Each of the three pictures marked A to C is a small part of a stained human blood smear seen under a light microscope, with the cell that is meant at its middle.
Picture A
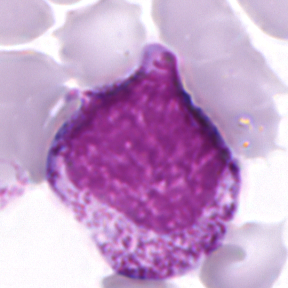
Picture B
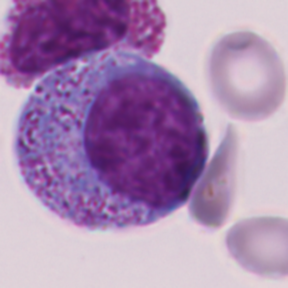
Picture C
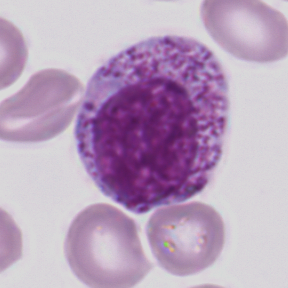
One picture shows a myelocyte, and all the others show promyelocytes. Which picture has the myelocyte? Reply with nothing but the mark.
C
